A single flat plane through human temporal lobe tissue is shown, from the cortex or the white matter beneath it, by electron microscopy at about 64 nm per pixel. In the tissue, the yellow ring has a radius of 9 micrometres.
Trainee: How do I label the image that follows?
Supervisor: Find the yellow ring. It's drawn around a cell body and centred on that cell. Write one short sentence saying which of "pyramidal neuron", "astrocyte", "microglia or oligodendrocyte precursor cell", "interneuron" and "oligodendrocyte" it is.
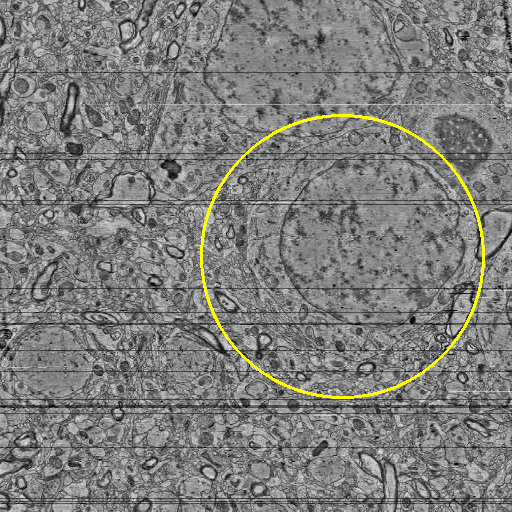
This is the cell body of a pyramidal neuron.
